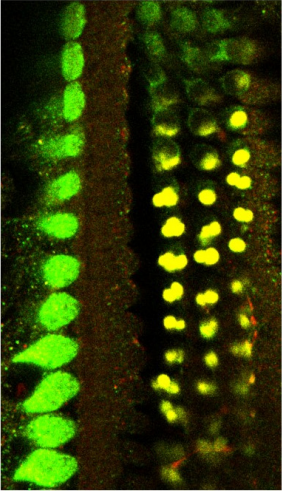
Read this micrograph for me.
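This is a surface view of the cochlear sensory strip with its hair cells. Along the left runs a single row of large, pear-shaped cells filled with bright green. Across a dark band to the right lie three neat rows of smaller, rounded green cells, the outer hair cells. At the base of many of these smaller cells sit bright yellow, rounded terminals, one or two per cell, lined up in three rows, some overlapping green to look yellow-green. Fine, sparse red threads wind between the rows.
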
